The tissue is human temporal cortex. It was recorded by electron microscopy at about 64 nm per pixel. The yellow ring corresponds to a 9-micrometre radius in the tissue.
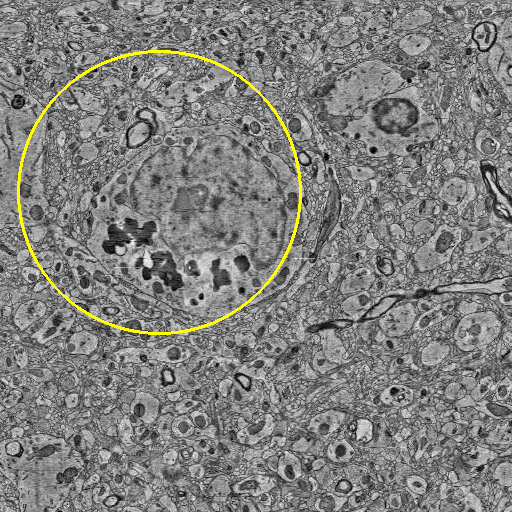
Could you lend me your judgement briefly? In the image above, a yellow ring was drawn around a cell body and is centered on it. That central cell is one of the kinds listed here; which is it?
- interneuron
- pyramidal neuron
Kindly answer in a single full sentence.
Going by the list, an interneuron is the kind at the ring's center in the picture.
